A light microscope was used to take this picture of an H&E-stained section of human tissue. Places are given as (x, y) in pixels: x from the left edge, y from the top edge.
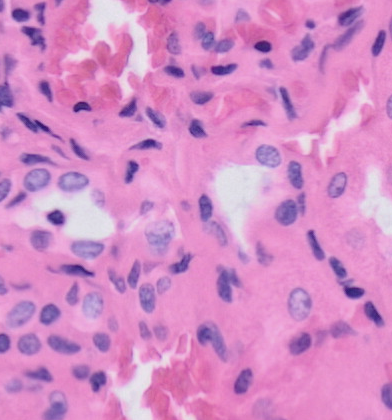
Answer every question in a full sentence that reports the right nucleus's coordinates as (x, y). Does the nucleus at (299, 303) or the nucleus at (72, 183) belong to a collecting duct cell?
Rather than the other nucleus, the one at (72, 183) belongs to a collecting duct cell.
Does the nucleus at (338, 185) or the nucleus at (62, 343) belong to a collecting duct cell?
The member of the pair belonging to a collecting duct cell is the nucleus at (62, 343).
